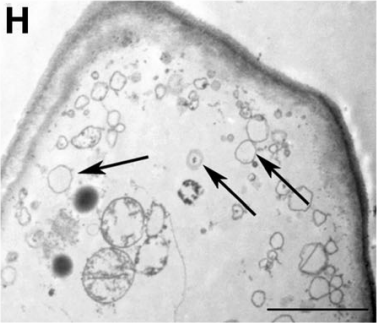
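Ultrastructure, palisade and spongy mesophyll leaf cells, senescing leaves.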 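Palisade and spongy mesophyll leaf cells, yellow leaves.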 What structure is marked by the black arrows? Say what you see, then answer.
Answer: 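Autophagy-related structures. Many small membrane-bounded vesicles are scattered in the cell lumen. Some vesicles contain small dense inclusions.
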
